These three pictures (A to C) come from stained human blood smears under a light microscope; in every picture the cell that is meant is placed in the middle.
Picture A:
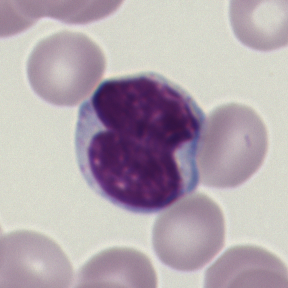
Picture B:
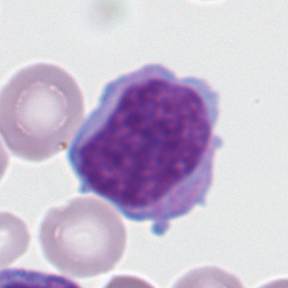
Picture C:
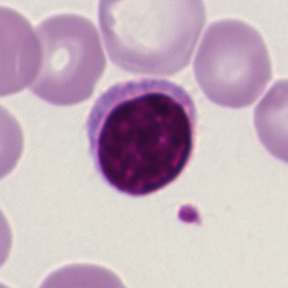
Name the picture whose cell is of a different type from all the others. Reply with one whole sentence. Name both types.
All pictures except B show large granular lymphocytes; picture B shows an atypical promyelocyte.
